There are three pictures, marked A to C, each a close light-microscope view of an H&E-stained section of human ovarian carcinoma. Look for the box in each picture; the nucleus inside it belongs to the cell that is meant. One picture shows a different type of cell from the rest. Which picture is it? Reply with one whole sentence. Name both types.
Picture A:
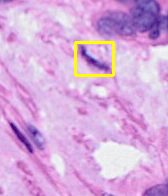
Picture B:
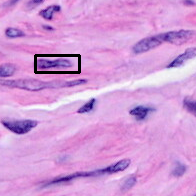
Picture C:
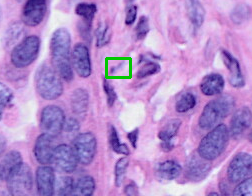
Picture B is the odd one out: it shows a smooth muscle cell, while the others show fibroblasts.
